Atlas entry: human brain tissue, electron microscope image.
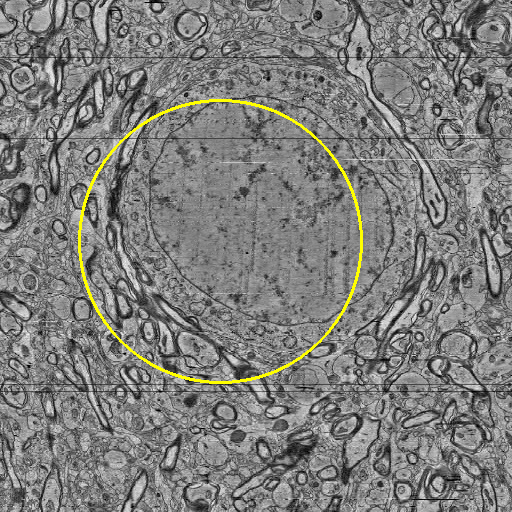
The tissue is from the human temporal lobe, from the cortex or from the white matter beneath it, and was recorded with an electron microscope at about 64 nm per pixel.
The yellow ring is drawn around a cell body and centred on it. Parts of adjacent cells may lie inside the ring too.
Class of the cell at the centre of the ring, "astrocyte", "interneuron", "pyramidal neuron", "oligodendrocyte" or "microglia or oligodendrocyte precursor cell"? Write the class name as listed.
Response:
pyramidal neuron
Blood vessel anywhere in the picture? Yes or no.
No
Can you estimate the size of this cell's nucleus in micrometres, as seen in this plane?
About 16 micrometres by about 14 micrometres in this plane.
